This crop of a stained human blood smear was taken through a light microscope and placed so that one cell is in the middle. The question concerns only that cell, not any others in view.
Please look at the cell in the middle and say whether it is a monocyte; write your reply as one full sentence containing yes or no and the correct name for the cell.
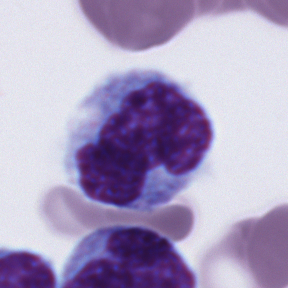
Yes, the middle cell of the field is a monocyte.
